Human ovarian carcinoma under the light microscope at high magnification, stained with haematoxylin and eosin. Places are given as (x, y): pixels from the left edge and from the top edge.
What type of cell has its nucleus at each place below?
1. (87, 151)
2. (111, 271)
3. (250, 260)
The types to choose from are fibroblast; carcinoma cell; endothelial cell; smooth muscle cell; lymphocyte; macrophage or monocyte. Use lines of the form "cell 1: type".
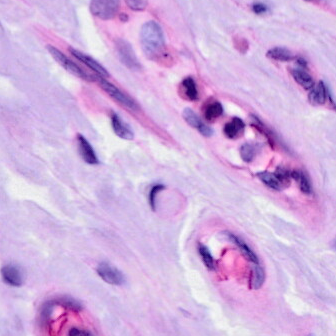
cell 1: fibroblast
cell 2: fibroblast
cell 3: endothelial cell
